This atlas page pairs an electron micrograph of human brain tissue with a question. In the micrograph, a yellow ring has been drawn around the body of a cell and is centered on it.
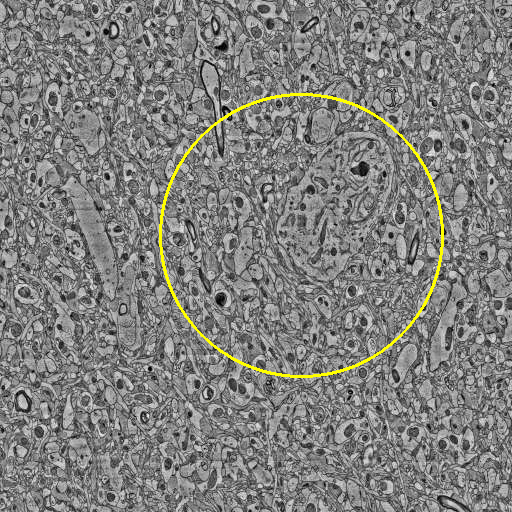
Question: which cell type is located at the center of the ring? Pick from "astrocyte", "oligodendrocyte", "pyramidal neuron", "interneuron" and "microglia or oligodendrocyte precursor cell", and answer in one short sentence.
Located at the center of the ring is an interneuron.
